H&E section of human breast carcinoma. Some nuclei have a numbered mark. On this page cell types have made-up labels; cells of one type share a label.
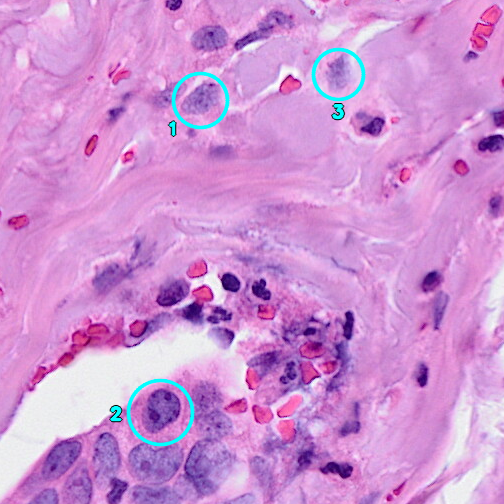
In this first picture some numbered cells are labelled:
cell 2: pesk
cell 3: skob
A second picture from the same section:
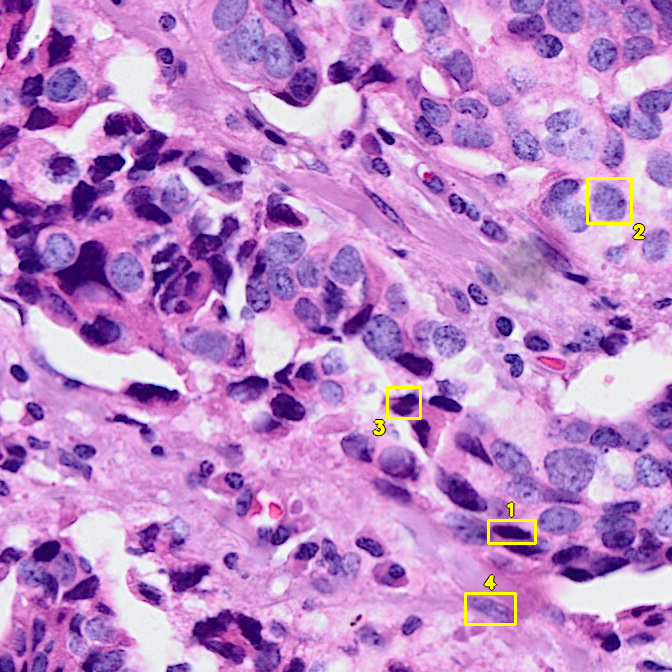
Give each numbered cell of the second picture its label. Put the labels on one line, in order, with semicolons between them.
pesk; pesk; pesk; skob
